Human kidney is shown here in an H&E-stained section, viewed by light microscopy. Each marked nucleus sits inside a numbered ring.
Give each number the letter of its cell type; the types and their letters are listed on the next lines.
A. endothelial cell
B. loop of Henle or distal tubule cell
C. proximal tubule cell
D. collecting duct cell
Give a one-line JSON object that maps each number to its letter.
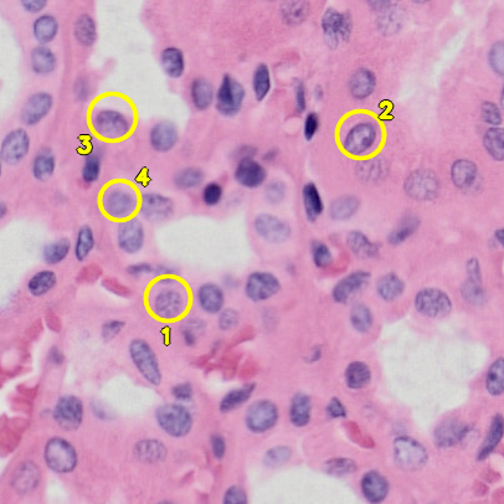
{"1": "D", "2": "C", "3": "B", "4": "D"}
